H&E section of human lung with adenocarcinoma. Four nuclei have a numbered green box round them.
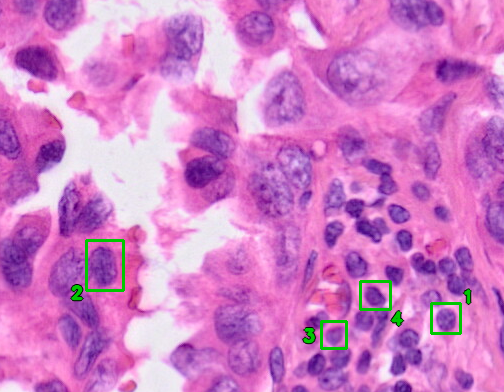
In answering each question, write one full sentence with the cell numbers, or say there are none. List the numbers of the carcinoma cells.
Cell 2 is a carcinoma cell, and it is the only numbered cell that is.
